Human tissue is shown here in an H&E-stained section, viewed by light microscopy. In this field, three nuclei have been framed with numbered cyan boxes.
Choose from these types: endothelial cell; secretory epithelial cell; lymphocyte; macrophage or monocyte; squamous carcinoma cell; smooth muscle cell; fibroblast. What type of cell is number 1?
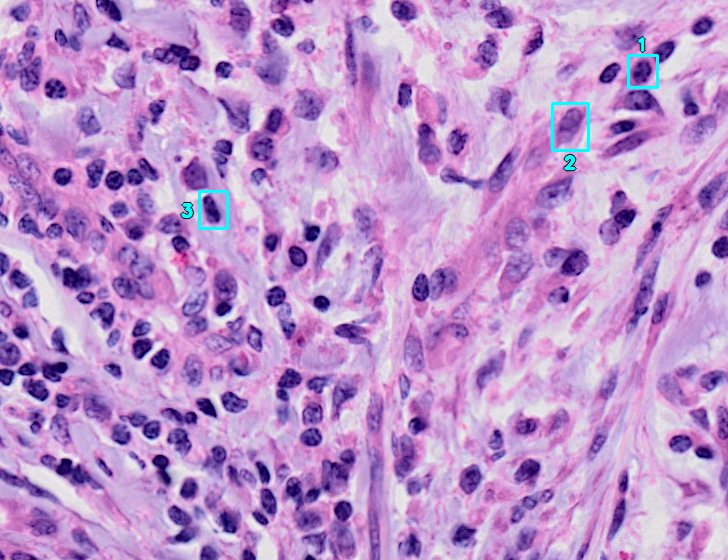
lymphocyte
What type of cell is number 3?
lymphocyte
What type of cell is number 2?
macrophage or monocyte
